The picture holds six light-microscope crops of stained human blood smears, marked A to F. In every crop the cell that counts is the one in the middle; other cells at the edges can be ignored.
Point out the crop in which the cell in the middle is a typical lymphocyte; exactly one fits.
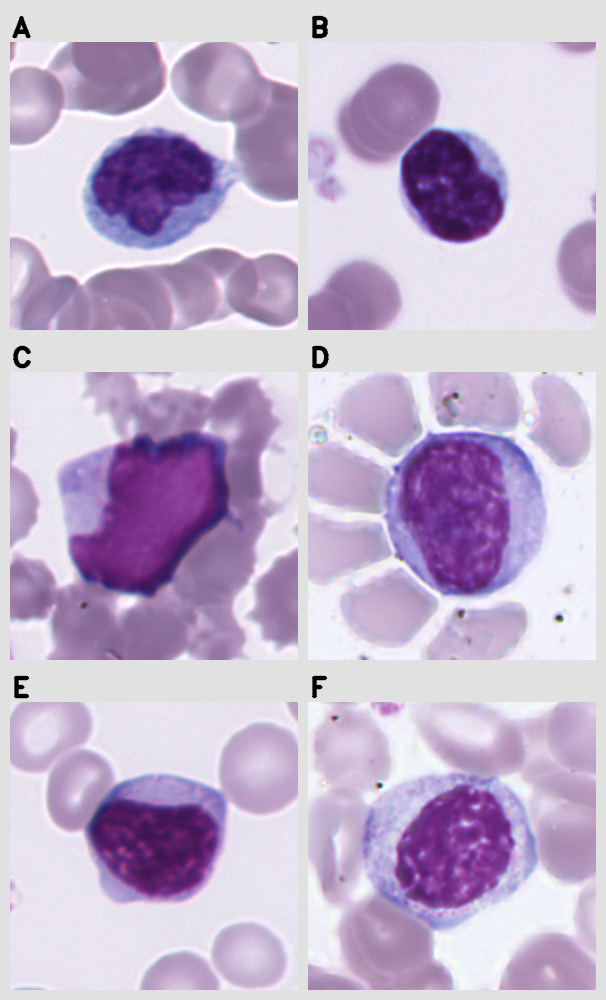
B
